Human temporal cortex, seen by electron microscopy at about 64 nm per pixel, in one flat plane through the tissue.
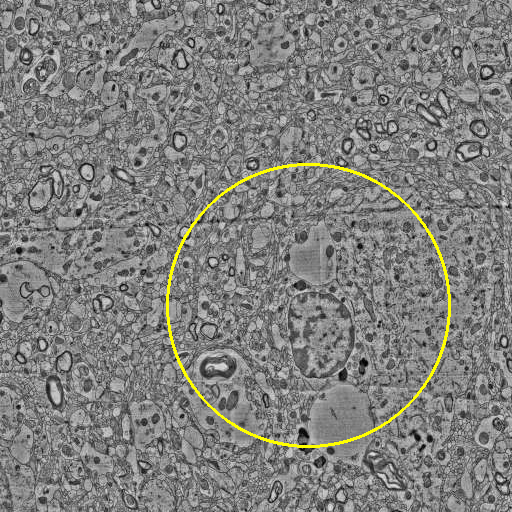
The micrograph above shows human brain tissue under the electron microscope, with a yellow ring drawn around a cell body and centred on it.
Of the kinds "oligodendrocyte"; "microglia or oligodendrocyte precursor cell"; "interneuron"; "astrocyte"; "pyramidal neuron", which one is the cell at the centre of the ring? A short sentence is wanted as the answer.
The one at the centre of the ring is a microglial cell or oligodendrocyte precursor cell.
